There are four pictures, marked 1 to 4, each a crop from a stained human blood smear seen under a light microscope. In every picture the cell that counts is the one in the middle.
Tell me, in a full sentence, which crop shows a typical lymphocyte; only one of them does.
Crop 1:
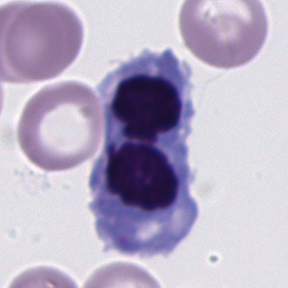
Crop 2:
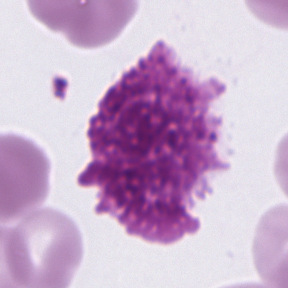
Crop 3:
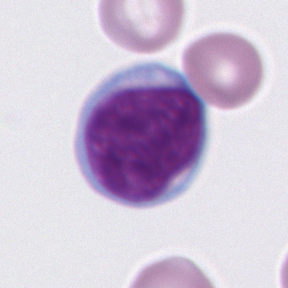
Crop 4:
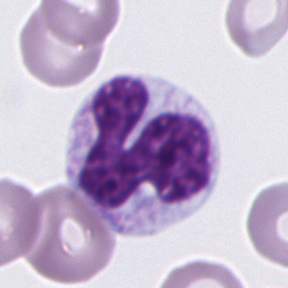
Look at crop 3; that is the one with a typical lymphocyte in its center.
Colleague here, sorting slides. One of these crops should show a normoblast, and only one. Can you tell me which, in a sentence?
Crop 1 matches the request, showing a normoblast.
